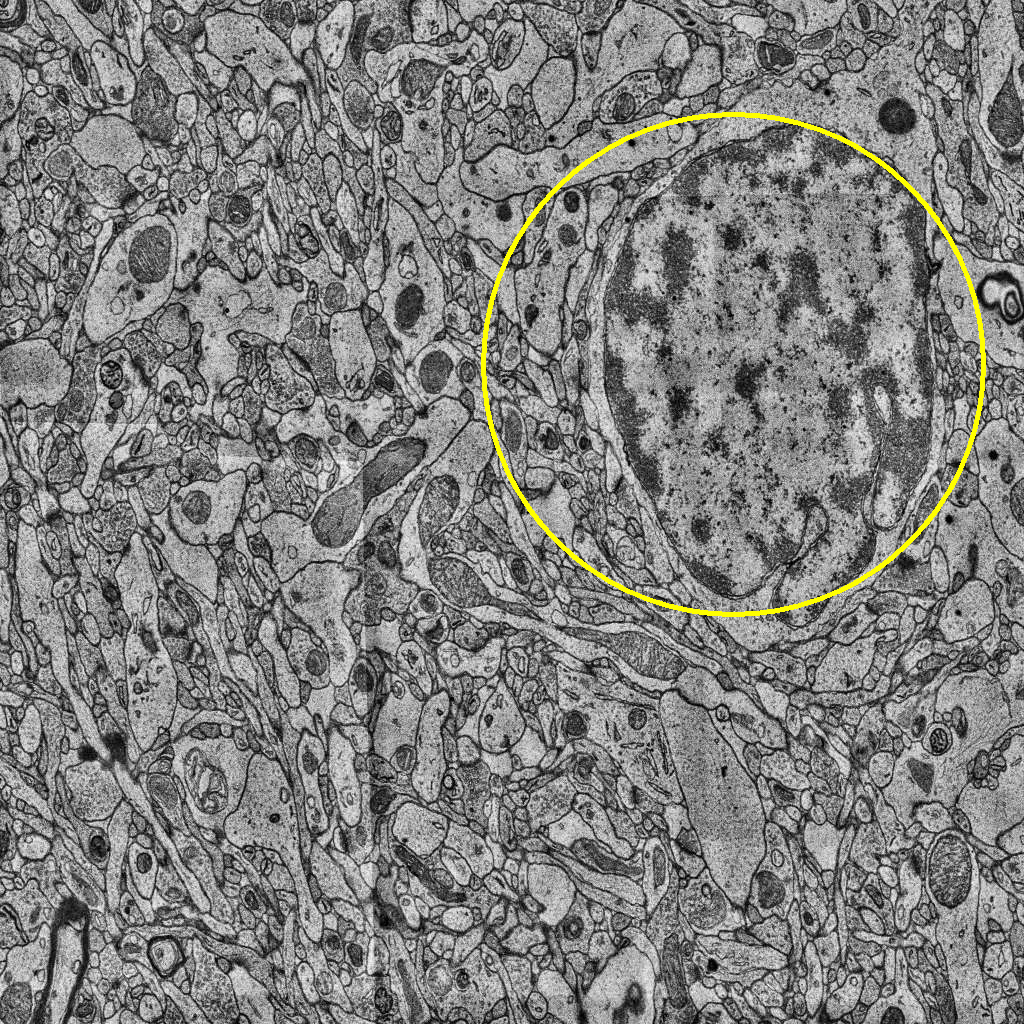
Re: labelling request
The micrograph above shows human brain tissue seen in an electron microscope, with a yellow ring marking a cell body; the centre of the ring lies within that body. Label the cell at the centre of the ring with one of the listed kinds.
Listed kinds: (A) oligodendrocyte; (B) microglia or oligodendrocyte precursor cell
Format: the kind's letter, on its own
B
